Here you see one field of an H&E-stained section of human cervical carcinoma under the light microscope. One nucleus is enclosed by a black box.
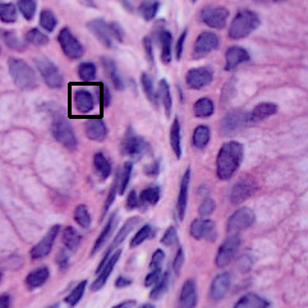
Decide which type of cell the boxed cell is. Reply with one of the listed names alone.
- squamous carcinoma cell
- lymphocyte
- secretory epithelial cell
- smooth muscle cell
secretory epithelial cell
